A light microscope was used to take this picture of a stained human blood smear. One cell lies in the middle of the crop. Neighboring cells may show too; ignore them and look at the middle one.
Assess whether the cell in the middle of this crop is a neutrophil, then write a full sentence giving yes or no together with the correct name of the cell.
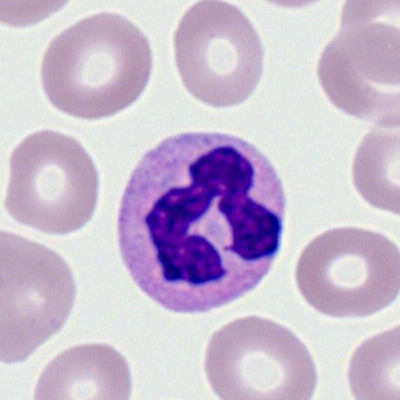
Yes, the centre of the crop holds a neutrophil.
